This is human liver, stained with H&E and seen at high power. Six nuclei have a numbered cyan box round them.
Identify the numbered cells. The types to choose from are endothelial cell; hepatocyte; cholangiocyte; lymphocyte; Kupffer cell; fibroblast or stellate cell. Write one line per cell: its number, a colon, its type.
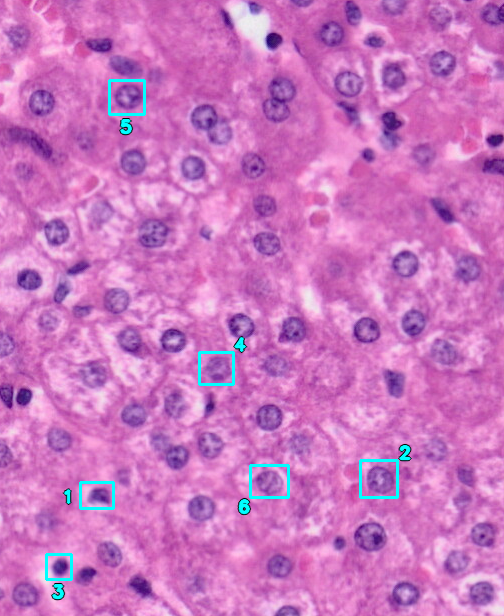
1: endothelial cell
2: hepatocyte
3: lymphocyte
4: hepatocyte
5: hepatocyte
6: hepatocyte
